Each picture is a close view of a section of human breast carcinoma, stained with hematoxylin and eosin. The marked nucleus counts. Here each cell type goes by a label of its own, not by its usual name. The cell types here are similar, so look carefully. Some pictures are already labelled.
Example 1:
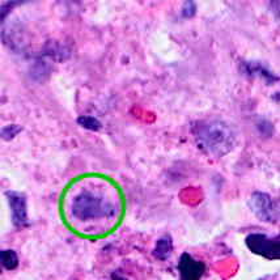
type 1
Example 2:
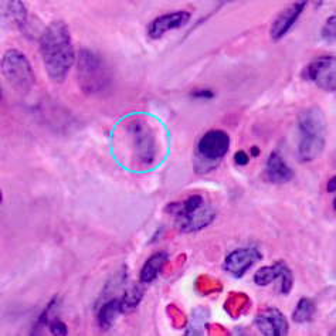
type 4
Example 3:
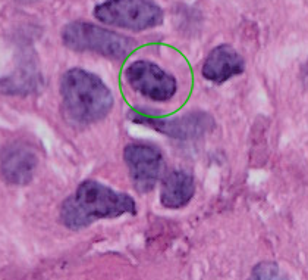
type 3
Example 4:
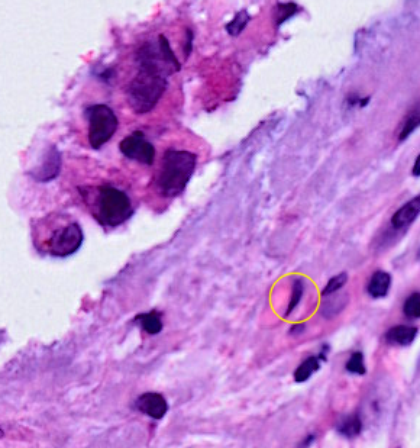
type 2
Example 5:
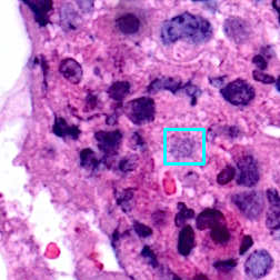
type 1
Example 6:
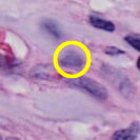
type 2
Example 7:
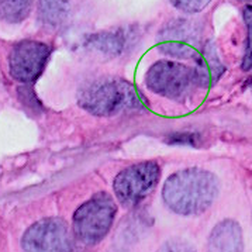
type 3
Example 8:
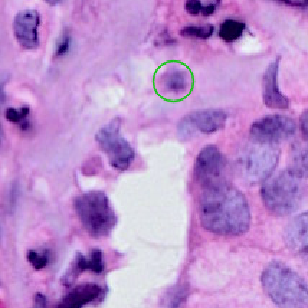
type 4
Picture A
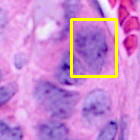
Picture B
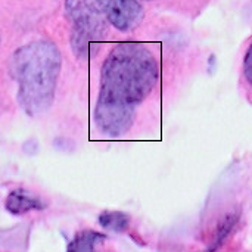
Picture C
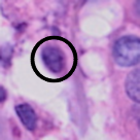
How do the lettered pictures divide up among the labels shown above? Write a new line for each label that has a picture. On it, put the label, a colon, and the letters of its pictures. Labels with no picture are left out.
type 1: C
type 3: A, B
